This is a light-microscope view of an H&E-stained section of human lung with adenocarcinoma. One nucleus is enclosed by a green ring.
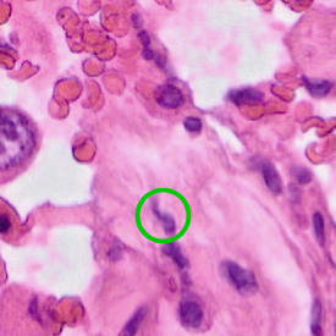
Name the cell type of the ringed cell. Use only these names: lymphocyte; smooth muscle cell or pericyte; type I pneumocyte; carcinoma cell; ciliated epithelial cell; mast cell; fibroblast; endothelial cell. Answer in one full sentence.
As a matter of cell type, the ringed cell is a fibroblast.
